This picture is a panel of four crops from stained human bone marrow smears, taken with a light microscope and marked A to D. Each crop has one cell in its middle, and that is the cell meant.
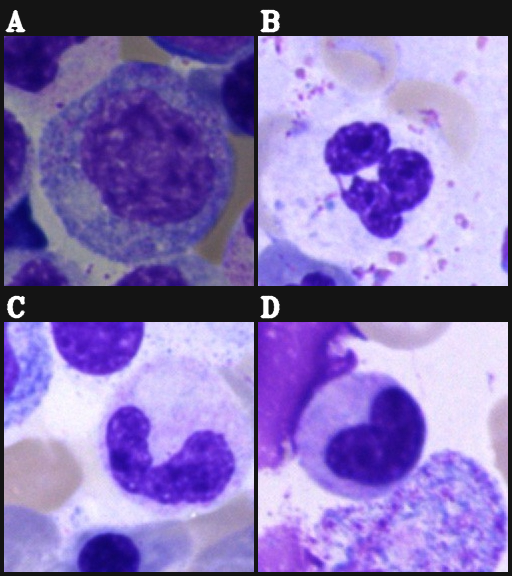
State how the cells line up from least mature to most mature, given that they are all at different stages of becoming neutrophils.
A, D, C, B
